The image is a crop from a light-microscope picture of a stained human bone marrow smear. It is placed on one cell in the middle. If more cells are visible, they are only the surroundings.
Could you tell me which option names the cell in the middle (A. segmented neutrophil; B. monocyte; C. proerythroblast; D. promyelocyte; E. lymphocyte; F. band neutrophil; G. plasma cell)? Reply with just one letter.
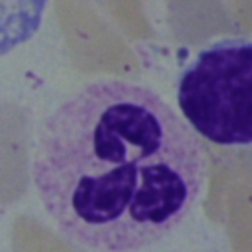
A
